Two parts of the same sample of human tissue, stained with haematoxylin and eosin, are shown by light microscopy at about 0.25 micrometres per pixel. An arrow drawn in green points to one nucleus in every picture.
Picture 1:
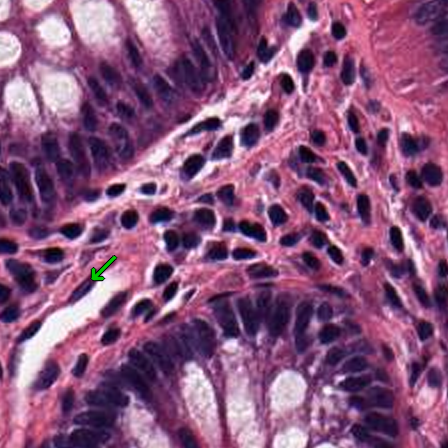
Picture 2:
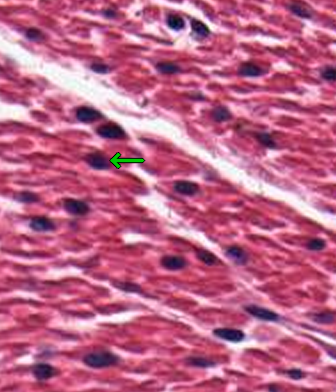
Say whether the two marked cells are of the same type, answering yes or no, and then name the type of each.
No, the first is an endothelial cell and the second a smooth muscle cell.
